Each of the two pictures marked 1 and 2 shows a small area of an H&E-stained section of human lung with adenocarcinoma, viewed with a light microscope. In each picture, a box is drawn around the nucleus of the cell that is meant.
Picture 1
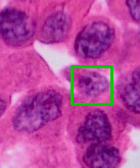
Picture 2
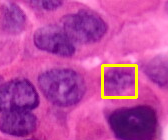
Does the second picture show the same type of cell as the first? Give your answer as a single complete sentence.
Yes, the two pictures both show carcinoma cells.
